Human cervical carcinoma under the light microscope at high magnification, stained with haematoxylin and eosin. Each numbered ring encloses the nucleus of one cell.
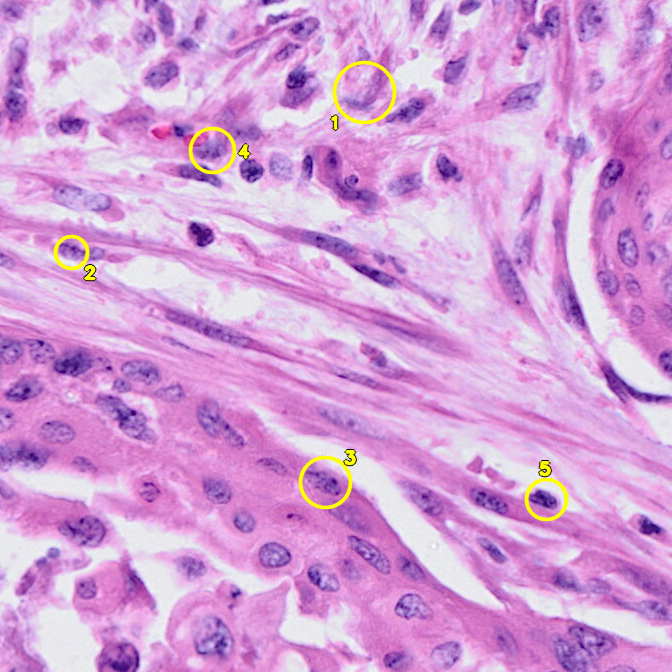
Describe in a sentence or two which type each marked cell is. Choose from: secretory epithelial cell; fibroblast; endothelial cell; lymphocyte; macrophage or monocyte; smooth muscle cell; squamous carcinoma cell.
Cell 1 is a fibroblast. Cell 2 is a macrophage or monocyte. Cell 3 is a squamous carcinoma cell. Cell 4 is an endothelial cell. Cell 5 is a lymphocyte.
